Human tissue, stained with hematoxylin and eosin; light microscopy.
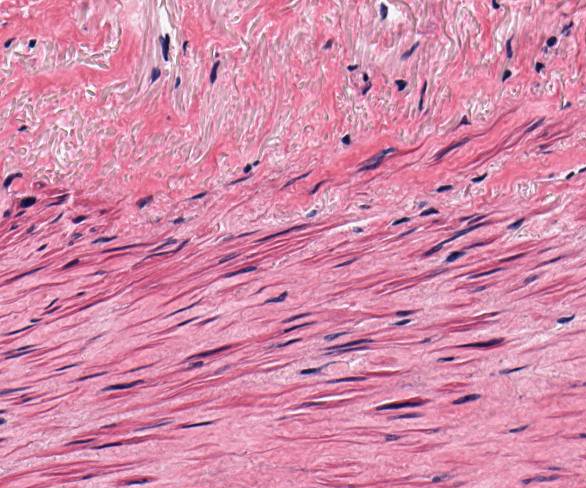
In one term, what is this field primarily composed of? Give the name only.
tunica media of an artery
